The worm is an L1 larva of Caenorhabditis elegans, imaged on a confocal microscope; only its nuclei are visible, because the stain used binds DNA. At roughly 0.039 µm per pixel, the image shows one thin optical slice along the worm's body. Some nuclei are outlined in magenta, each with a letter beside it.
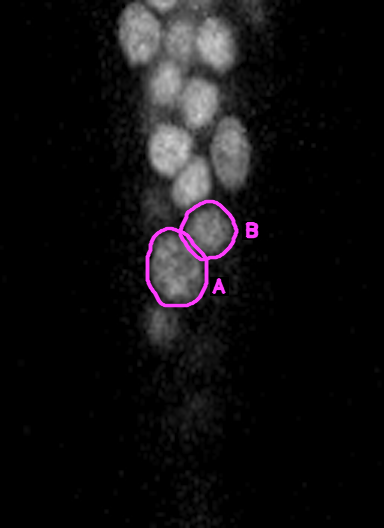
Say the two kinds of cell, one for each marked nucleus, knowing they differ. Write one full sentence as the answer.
A belongs to a seam cell and B to a neuron.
